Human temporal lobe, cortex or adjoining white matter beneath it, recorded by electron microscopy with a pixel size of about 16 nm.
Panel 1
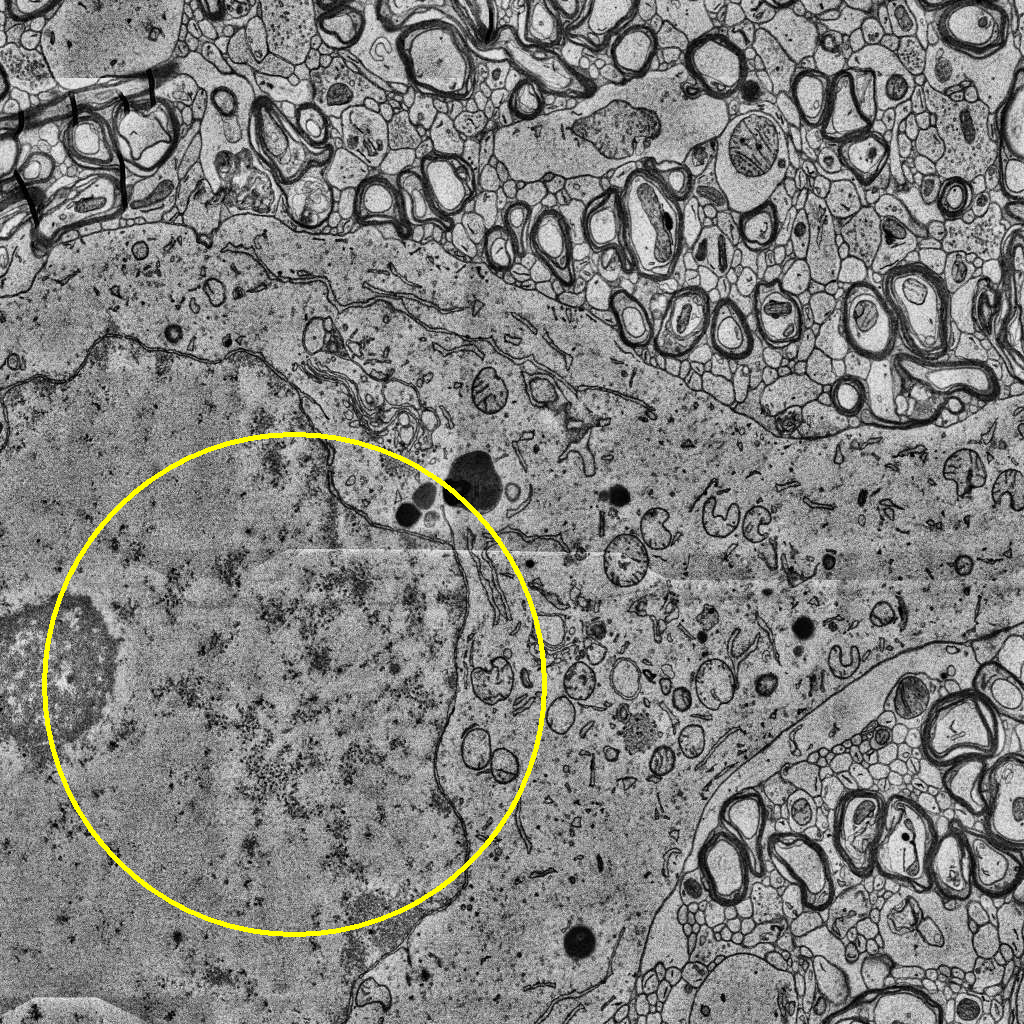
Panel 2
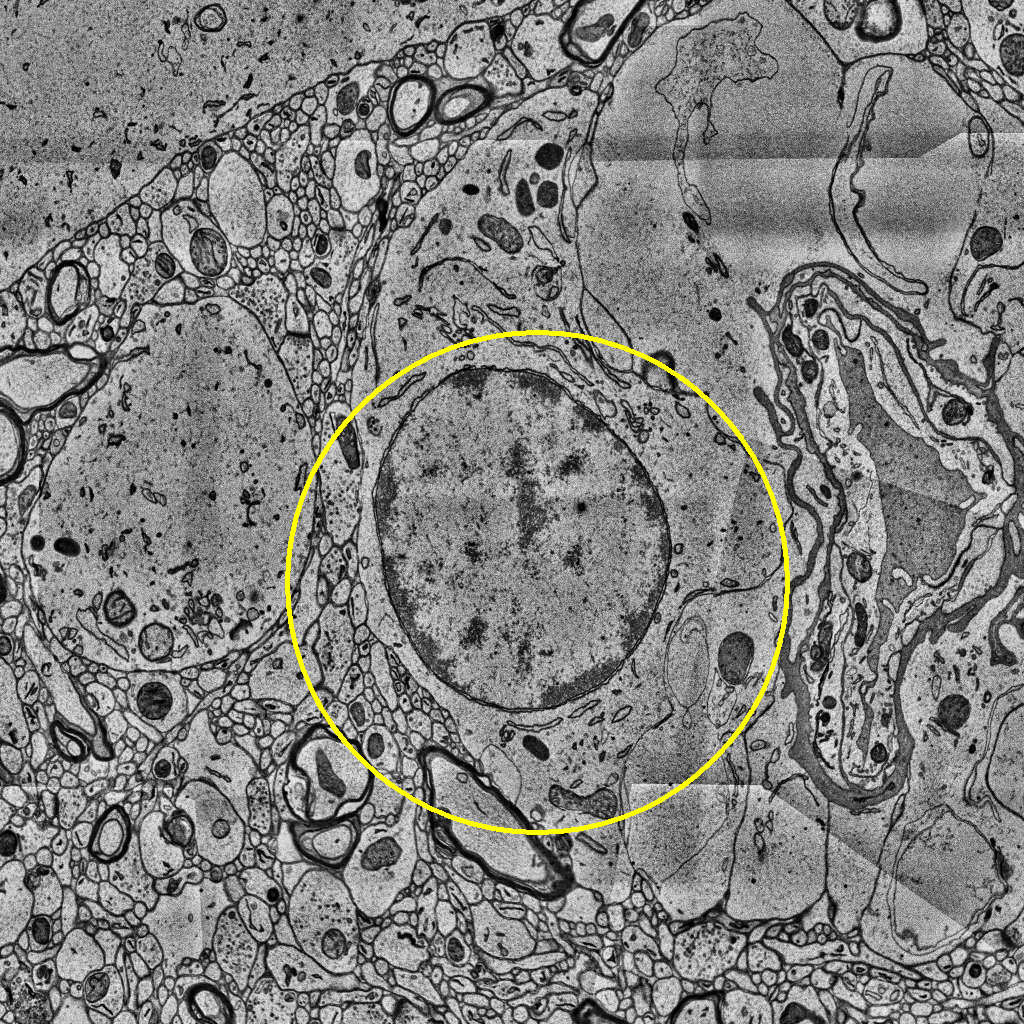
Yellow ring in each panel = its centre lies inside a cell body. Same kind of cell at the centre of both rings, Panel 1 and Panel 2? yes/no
no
